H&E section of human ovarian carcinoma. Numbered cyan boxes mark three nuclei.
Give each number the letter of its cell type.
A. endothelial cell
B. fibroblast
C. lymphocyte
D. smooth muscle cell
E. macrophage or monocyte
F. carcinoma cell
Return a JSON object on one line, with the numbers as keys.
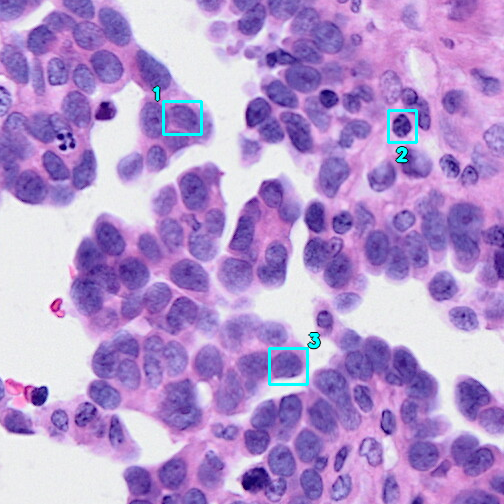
{"1": "F", "2": "C", "3": "F"}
